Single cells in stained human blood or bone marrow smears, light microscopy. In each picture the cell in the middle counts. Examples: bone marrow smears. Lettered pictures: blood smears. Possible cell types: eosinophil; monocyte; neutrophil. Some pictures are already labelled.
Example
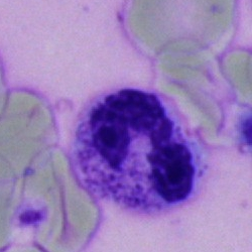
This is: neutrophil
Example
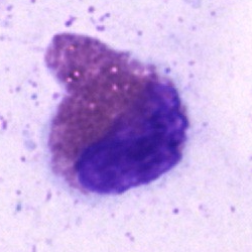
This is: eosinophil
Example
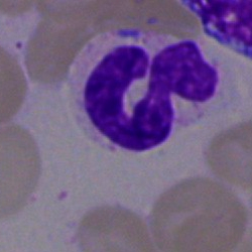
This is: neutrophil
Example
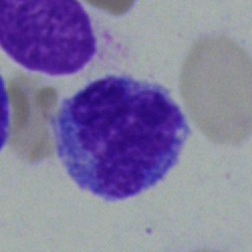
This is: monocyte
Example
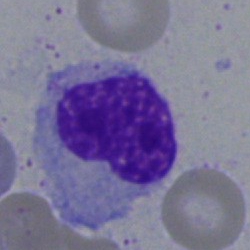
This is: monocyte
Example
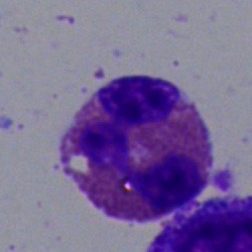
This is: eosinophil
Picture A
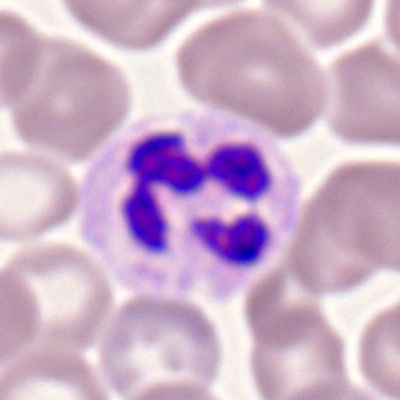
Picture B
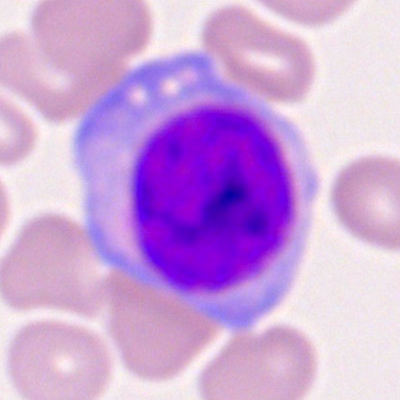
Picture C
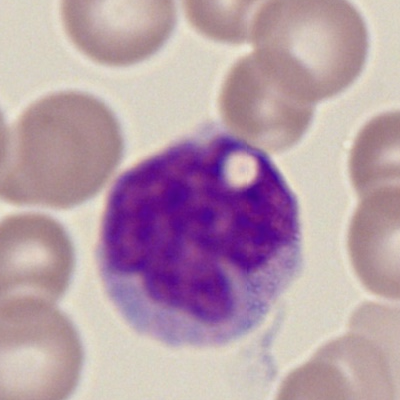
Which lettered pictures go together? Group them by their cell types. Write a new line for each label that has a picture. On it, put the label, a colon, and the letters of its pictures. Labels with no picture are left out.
monocyte: B, C
neutrophil: A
